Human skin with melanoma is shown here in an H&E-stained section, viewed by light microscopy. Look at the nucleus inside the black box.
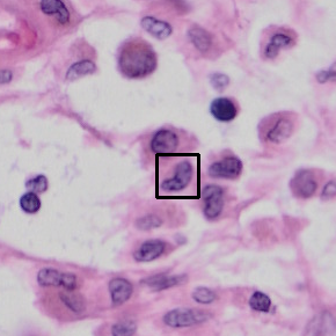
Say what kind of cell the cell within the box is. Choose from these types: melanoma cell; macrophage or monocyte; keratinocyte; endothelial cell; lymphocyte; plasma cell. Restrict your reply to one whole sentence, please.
Speaking plainly, the cell within the box is nothing other than a macrophage or monocyte.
